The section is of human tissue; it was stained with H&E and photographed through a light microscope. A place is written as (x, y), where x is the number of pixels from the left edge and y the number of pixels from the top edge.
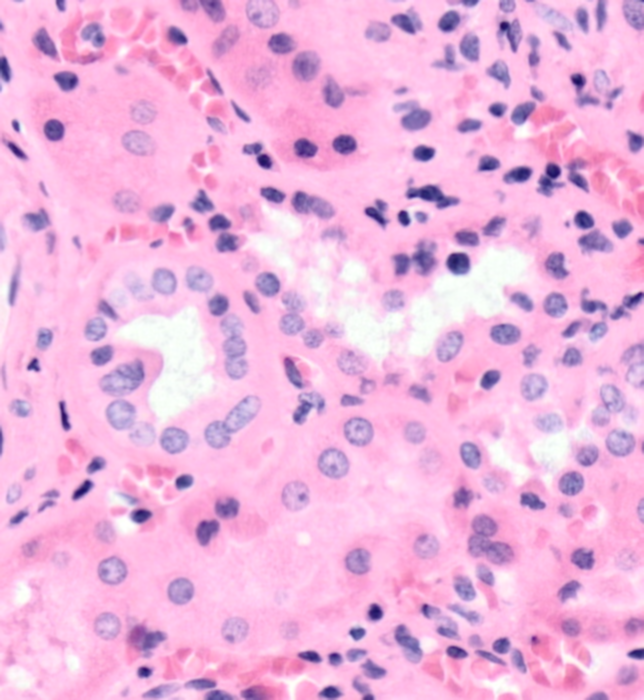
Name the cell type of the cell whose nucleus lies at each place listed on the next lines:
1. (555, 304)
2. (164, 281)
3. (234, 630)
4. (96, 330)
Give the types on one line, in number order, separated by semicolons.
loop of Henle or distal tubule cell; collecting duct cell; proximal tubule cell; collecting duct cell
